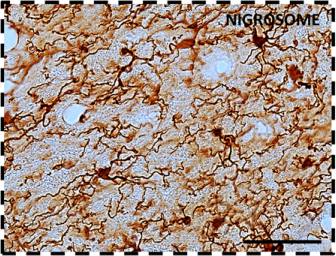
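Microglial cells in midbrain neuropil, stained brown on a pale bluish background. Small cell bodies are spaced apart and give off many thin, long, finely branched processes that spread through the surrounding tissue. A few round pale vessel profiles lie among the cells.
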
